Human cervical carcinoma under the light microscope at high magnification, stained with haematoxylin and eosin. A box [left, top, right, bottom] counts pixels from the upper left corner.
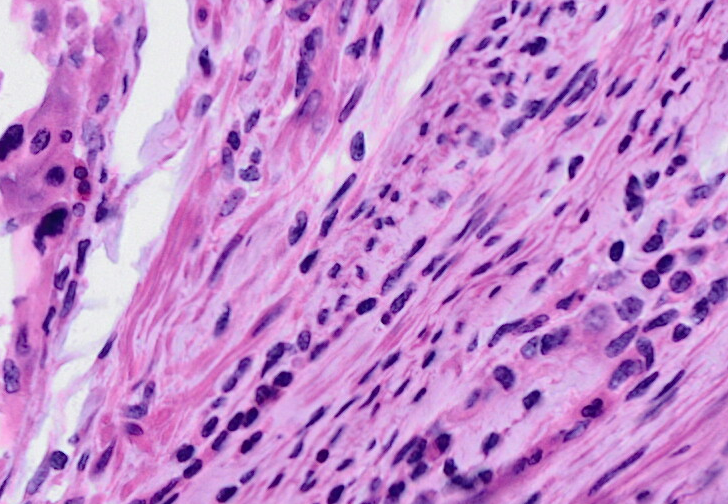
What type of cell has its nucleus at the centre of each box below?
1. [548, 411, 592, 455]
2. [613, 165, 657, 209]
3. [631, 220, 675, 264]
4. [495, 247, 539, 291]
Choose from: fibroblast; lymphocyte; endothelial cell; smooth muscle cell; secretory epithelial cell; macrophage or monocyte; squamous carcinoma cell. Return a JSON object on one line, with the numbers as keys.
{"1": "endothelial cell", "2": "lymphocyte", "3": "lymphocyte", "4": "fibroblast"}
